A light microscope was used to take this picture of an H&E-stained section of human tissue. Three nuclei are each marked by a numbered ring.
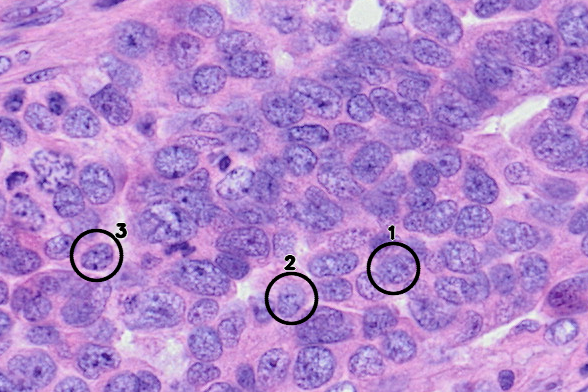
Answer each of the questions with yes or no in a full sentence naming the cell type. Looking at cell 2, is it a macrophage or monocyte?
No, the cell given the number 2 is a carcinoma cell, so not a macrophage or monocyte.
